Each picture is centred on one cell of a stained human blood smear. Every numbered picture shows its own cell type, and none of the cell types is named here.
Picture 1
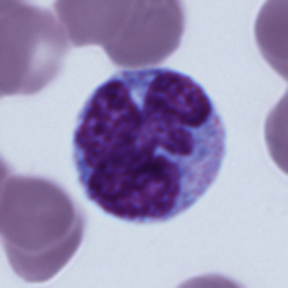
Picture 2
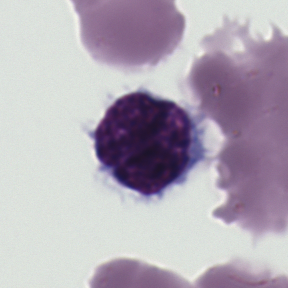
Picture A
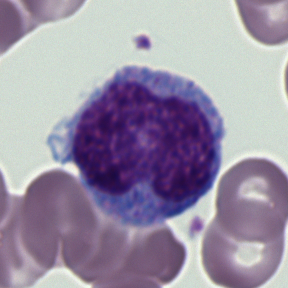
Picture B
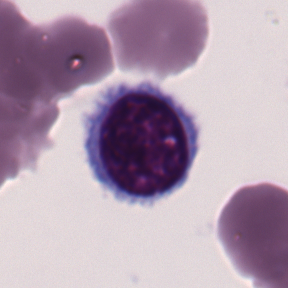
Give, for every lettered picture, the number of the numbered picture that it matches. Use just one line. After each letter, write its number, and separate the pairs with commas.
A 1, B 2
